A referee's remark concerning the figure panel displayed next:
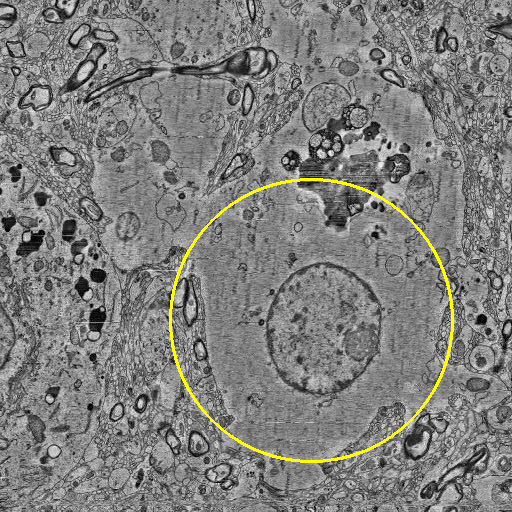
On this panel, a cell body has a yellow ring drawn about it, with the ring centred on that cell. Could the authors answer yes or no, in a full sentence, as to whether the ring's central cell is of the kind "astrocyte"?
Yes, the cell sitting at the middle of the ring on this panel belongs to that kind.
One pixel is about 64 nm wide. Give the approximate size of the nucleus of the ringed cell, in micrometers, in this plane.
In this plane the nucleus spans approximately 9 by 7 micrometers.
